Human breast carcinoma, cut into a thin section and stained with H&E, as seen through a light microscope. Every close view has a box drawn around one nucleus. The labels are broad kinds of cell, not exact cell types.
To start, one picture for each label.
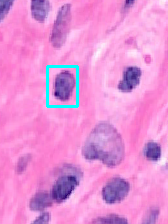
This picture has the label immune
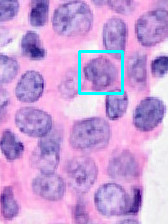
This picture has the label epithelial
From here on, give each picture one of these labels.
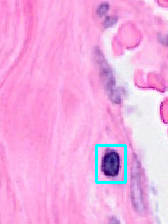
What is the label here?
immune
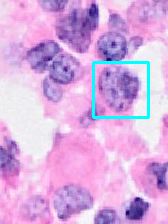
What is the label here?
epithelial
